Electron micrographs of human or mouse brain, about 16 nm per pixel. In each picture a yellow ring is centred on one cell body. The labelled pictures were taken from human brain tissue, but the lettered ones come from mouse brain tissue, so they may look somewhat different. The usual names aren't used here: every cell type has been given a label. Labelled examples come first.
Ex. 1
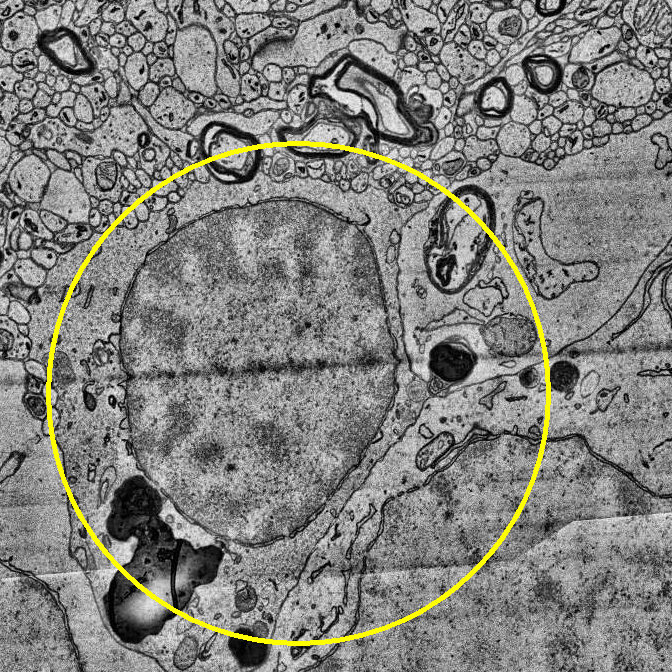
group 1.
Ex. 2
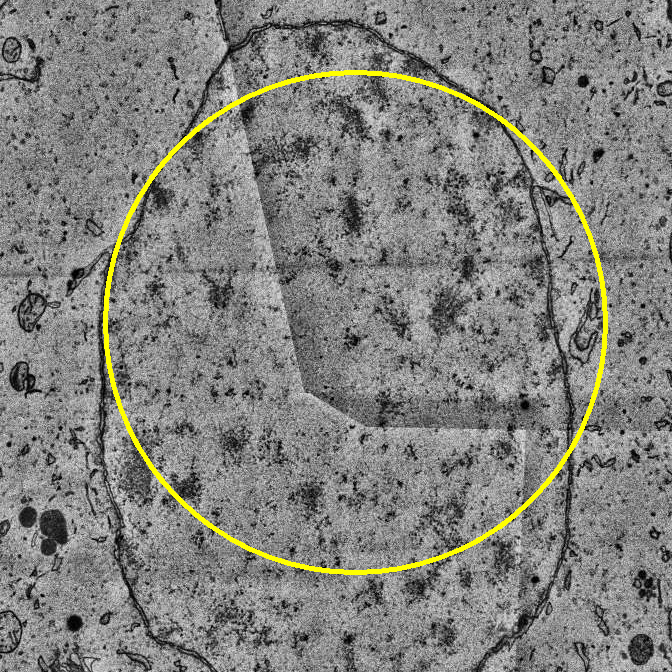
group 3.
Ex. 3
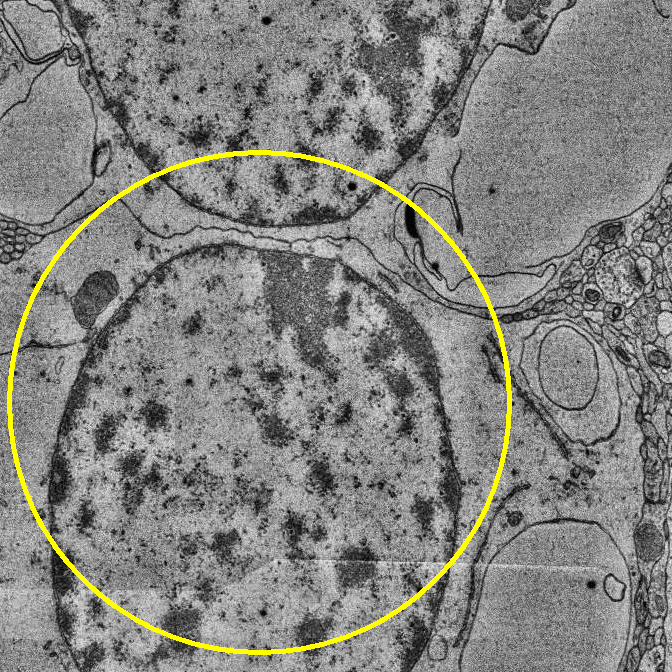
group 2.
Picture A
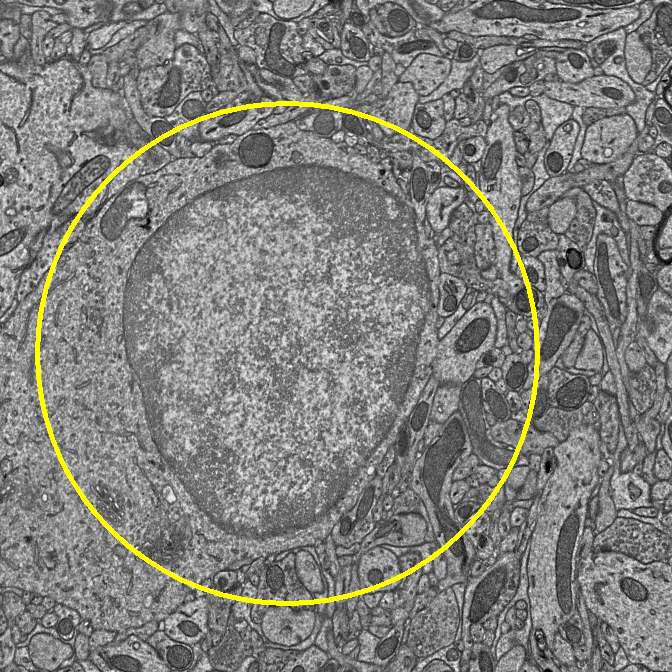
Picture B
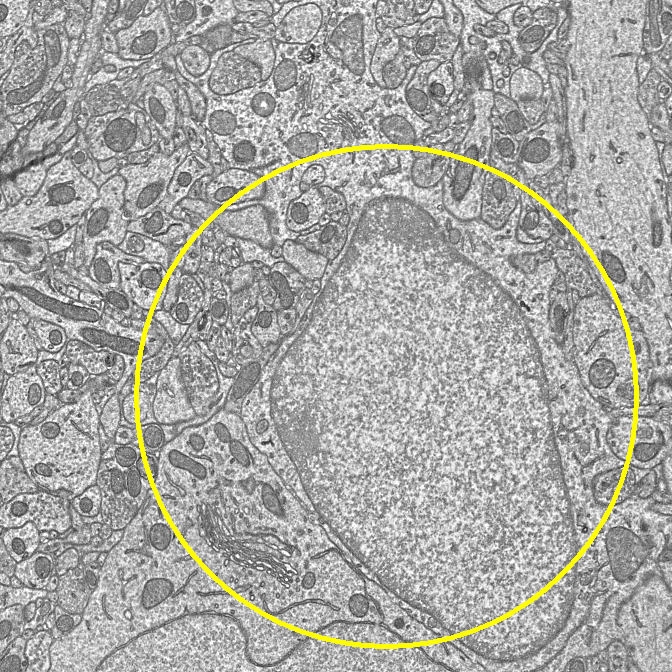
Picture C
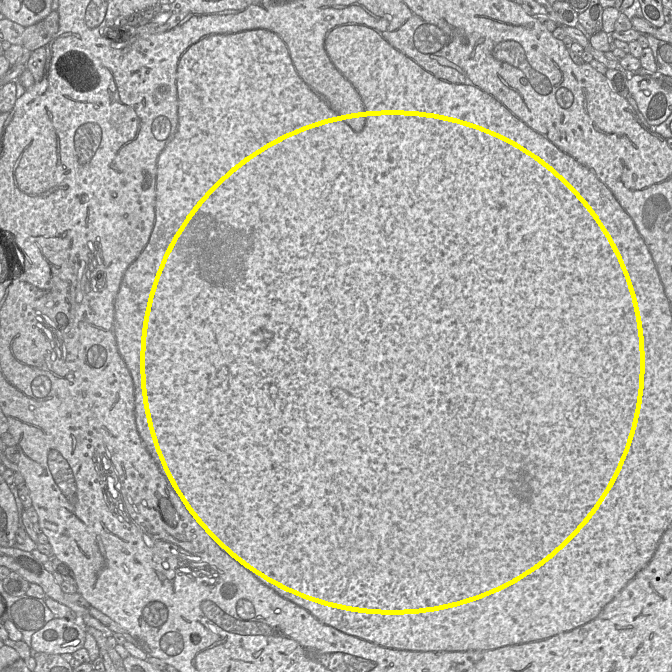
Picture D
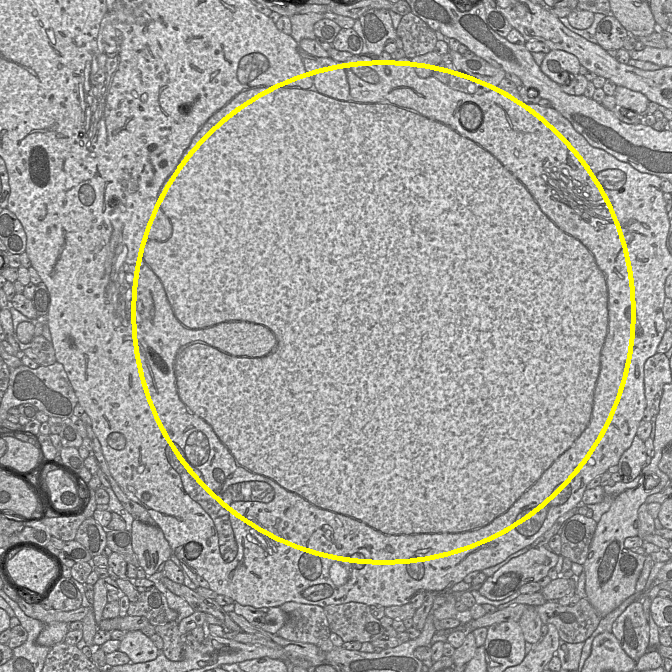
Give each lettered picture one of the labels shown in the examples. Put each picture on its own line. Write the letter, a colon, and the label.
A: group 1.
B: group 2.
C: group 3.
D: group 3.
